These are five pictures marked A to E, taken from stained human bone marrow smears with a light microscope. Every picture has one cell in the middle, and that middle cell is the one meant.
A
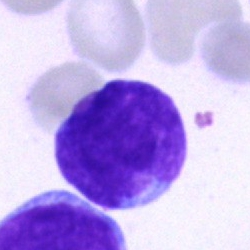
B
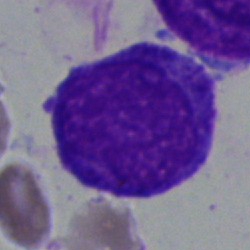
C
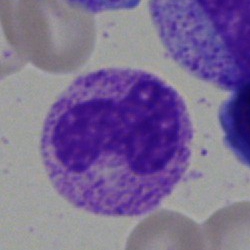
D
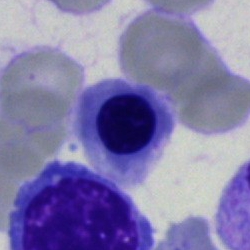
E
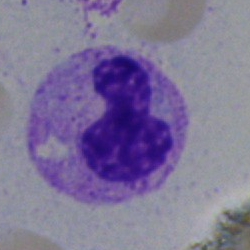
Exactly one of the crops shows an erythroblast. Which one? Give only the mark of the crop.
D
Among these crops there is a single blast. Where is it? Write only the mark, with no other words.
A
